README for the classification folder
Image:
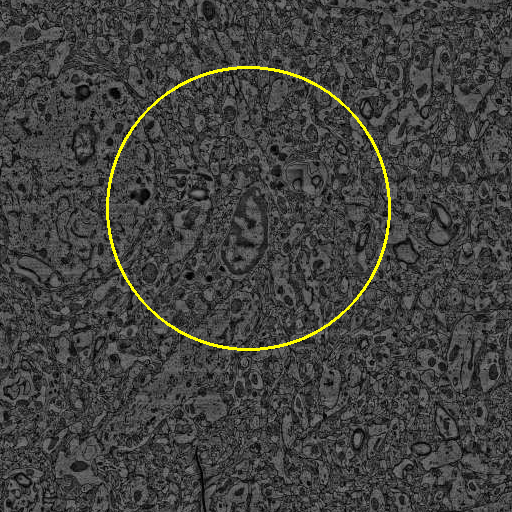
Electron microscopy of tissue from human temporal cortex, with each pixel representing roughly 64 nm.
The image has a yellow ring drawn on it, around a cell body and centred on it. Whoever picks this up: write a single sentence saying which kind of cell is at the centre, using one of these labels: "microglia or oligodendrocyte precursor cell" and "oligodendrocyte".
This cell body is that of a microglial cell or oligodendrocyte precursor cell.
